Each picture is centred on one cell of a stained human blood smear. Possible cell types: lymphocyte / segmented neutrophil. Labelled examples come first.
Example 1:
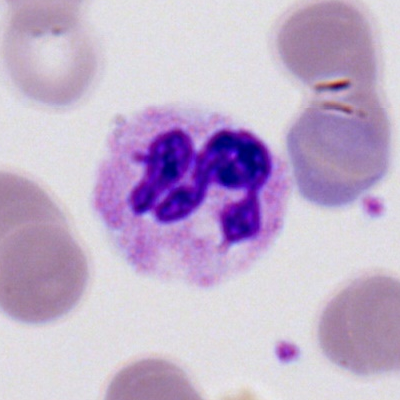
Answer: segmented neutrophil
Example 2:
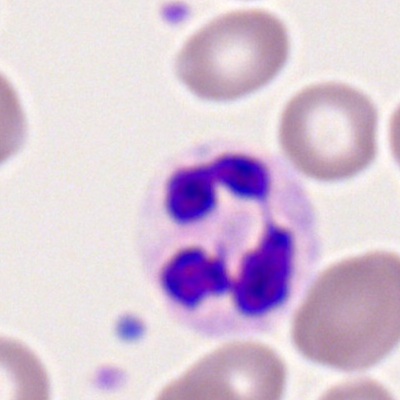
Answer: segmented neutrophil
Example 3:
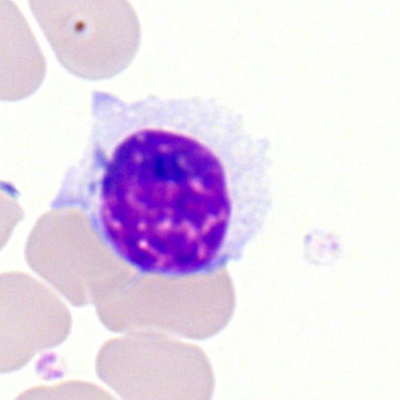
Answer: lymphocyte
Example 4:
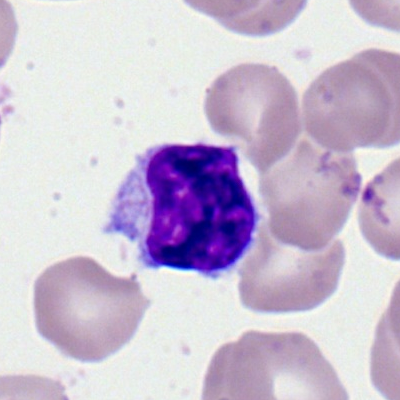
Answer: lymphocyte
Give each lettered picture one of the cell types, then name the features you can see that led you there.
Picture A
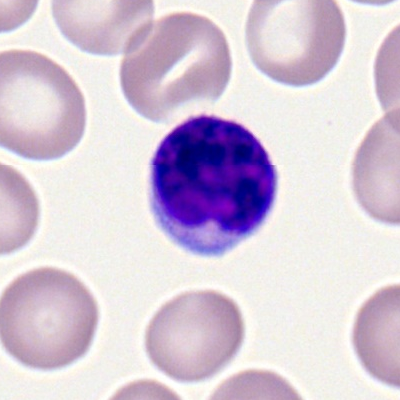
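lymphocyte. Evidence: A scant rim of pale blue cytoplasm shows mainly along the lower edge.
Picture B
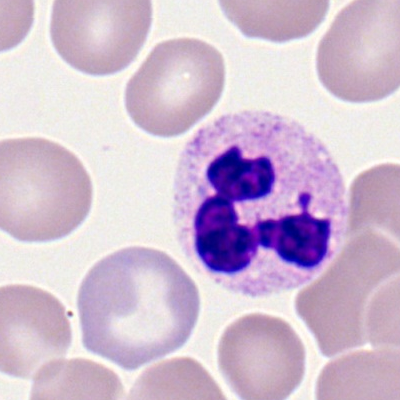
segmented neutrophil. Evidence: The cytoplasm is plentiful and pale pinkish-lilac.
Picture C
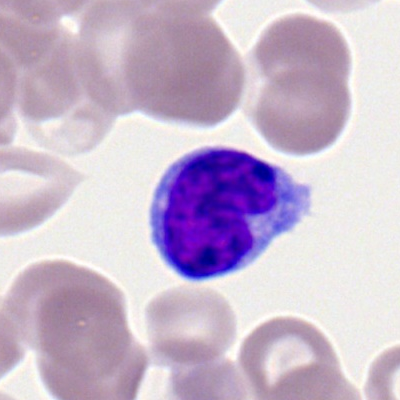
lymphocyte. Evidence: The nucleus fills most of the cell.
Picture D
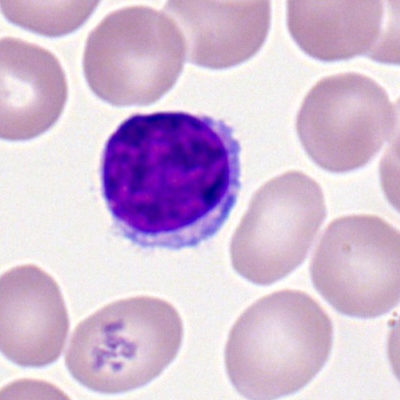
lymphocyte. Evidence: The nucleus fills most of the cell.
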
